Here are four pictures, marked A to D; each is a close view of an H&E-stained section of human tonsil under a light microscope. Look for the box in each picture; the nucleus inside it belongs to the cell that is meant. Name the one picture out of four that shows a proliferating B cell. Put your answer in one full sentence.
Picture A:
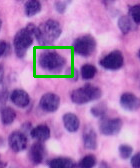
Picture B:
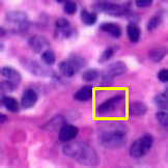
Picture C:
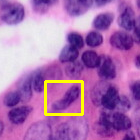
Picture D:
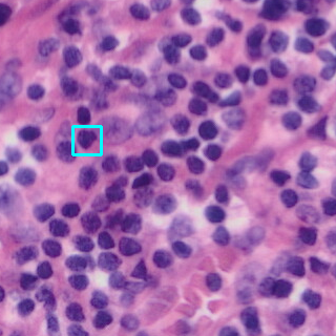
It is picture A that shows the proliferating B cell.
